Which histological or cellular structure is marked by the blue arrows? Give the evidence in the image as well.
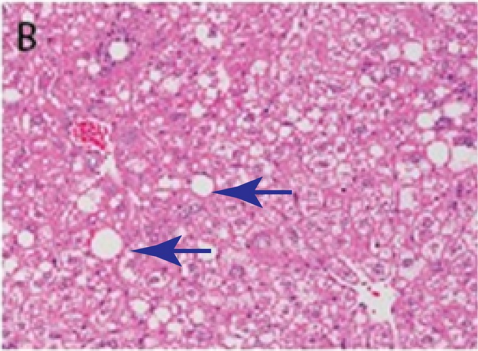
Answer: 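Lipid droplets. The arrows point to round, sharply bounded, unstained clear spaces within the tissue. Many such clear round vacuoles of varying size are scattered among the pink cells.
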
